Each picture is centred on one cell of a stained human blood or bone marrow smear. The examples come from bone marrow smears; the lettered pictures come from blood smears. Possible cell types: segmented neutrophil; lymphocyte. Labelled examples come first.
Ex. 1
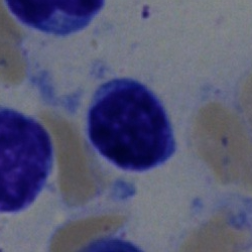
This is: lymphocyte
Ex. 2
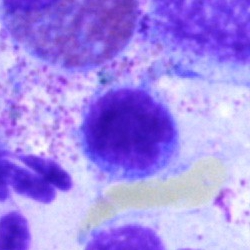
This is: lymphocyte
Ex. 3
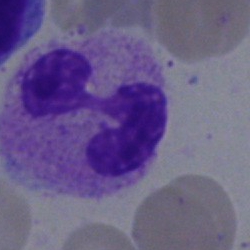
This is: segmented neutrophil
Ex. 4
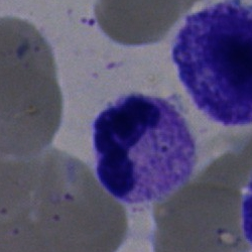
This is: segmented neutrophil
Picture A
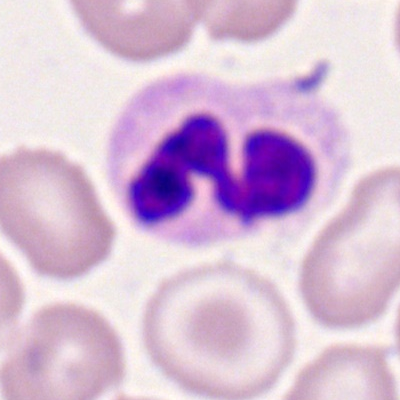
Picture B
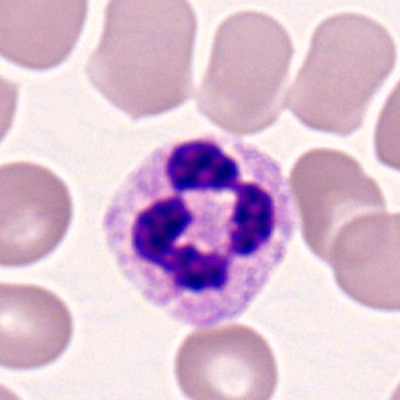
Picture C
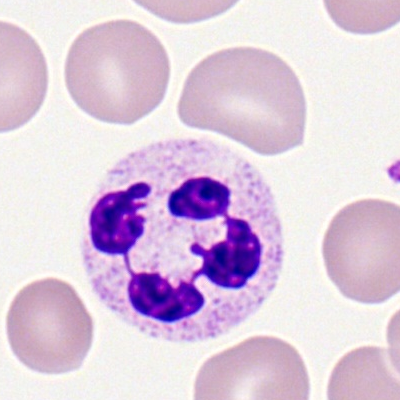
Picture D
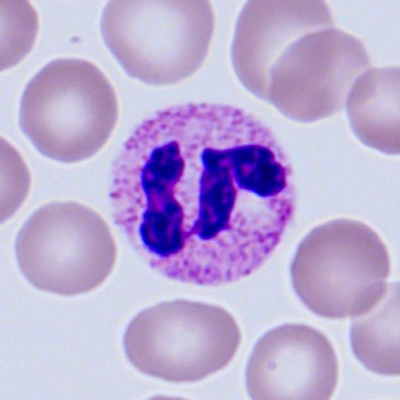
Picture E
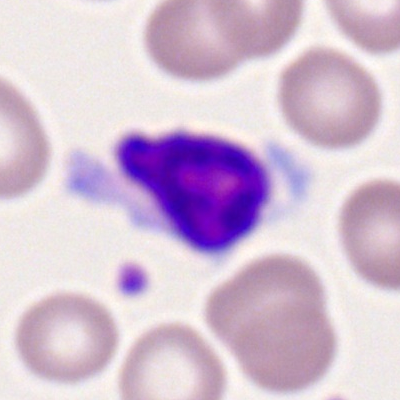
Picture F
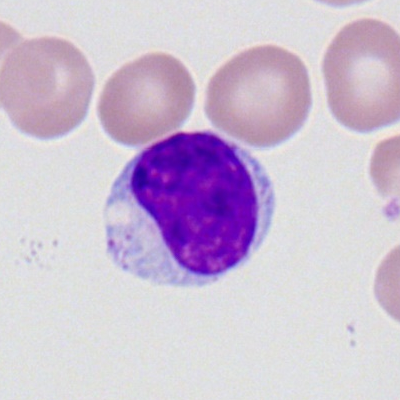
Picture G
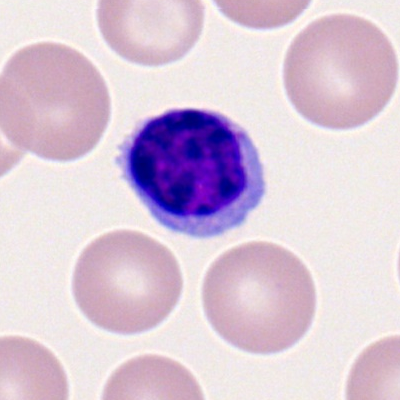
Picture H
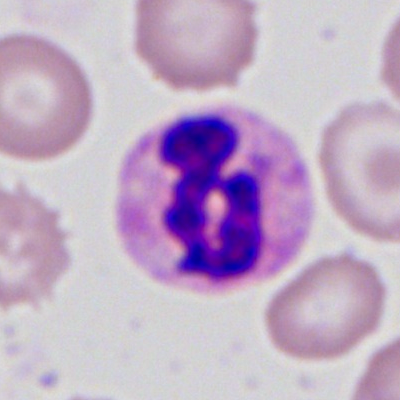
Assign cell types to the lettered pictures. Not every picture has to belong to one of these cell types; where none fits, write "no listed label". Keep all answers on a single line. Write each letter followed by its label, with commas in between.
A segmented neutrophil, B segmented neutrophil, C segmented neutrophil, D segmented neutrophil, E lymphocyte, F lymphocyte, G lymphocyte, H segmented neutrophil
